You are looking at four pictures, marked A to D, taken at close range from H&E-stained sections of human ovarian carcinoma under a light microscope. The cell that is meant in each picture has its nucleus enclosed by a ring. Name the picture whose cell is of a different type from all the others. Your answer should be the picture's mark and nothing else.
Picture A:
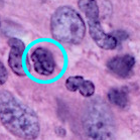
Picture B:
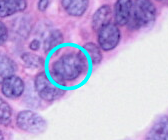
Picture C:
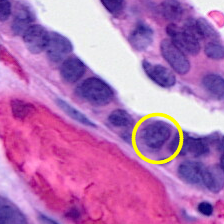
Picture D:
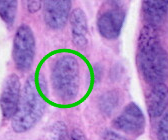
A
